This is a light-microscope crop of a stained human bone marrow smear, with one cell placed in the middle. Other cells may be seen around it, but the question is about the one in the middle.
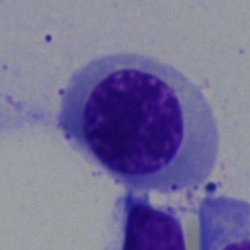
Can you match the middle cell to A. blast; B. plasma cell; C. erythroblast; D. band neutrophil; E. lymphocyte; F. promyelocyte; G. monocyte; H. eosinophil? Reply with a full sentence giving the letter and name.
Seen at the centre of the crop is an erythroblast, so option C is correct.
